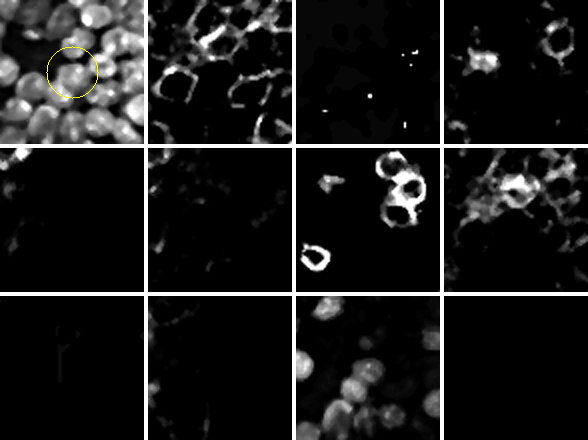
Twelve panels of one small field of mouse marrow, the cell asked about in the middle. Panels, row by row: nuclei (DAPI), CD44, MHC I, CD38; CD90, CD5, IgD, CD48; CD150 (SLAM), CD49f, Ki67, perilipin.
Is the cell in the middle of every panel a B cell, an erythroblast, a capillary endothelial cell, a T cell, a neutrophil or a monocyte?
It is an erythroblast.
